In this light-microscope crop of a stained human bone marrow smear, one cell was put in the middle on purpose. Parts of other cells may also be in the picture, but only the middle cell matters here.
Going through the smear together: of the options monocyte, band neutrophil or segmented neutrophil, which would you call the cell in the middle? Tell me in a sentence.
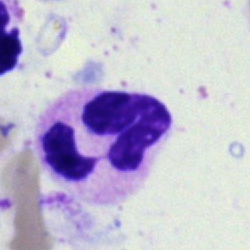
In short, the cell at the center is a segmented neutrophil.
